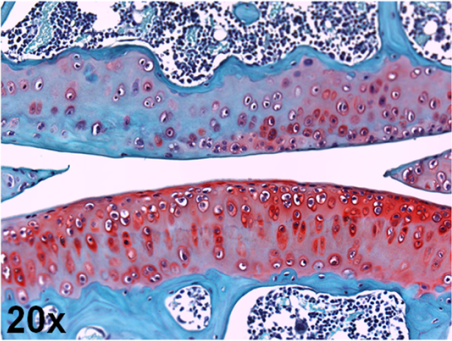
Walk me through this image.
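Articular cartilage of two opposing joint surfaces, separated by a narrow white joint space, with chondrocytes lying in lacunae. The upper cartilage band has a mostly pale blue-green matrix with only faint pink tinge, and its chondrocytes are scattered in rounded lacunae. Beneath each band lies turquoise-staining bone, and beyond it marrow spaces packed with small dark-nucleated cells and some empty round fat spaces.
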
